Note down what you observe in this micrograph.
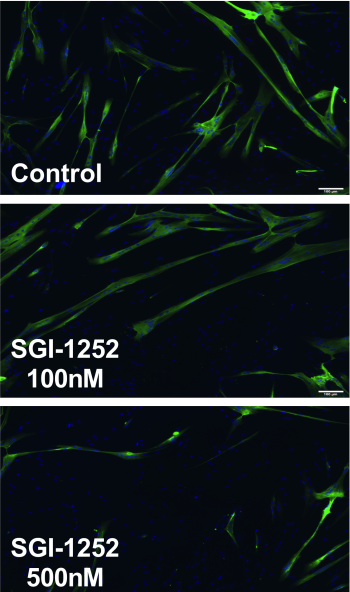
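These are cultured muscle precursor cells that have fused into long myotubes, seen as green, fluorescent, thread-like shapes on a dark background. The myotubes are long and spindle-shaped, tapering at their ends, and some branch or cross one another. The nuclei show as small round-to-oval blue spots scattered over the field, some lying inside the green myotubes and many in the dark spaces between them. In the top two images the myotubes are long and plentiful and cover much of the field. In the lowest image the green shapes are fewer, shorter and thinner, and more of the field is dark.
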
